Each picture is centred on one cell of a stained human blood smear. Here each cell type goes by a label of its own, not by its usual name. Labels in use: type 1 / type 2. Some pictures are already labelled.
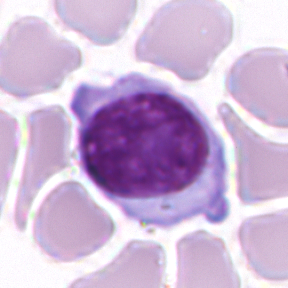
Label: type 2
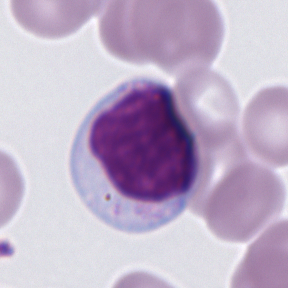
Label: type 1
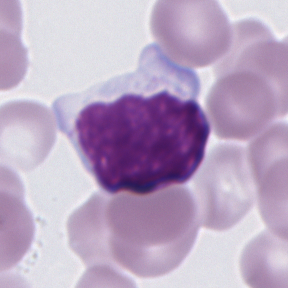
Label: type 1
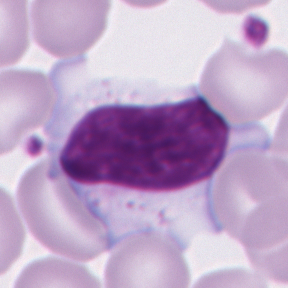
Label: type 1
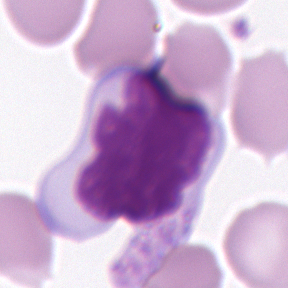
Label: type 1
